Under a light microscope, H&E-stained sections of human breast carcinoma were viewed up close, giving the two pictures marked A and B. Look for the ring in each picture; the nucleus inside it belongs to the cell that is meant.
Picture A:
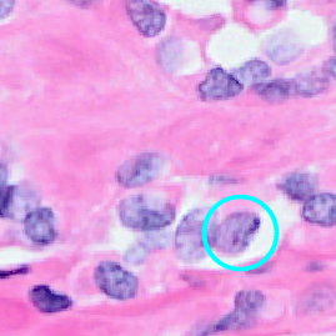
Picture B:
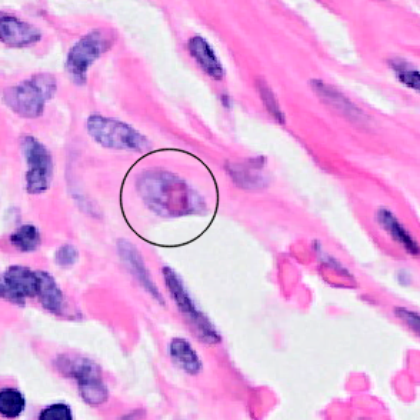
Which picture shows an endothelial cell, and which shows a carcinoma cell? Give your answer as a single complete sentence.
Picture B shows an endothelial cell, while picture A shows a carcinoma cell.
